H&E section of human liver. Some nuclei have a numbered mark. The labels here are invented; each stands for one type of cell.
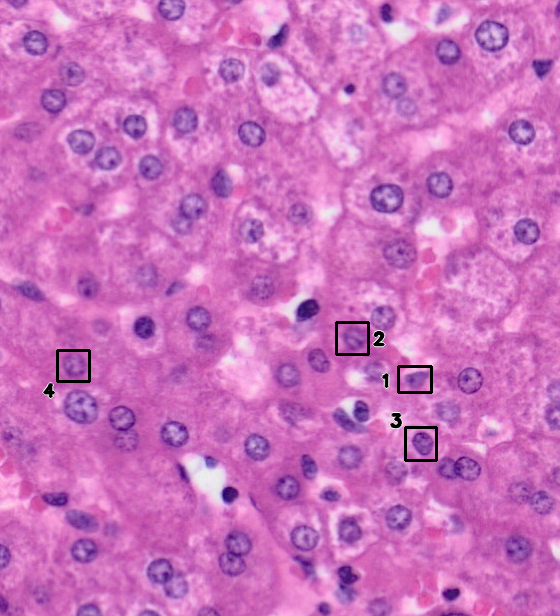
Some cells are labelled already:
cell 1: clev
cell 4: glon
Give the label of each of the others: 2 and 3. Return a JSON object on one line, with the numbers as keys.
{"2": "glon", "3": "glon"}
